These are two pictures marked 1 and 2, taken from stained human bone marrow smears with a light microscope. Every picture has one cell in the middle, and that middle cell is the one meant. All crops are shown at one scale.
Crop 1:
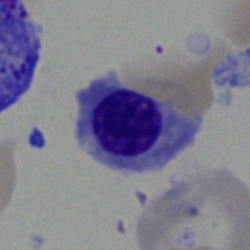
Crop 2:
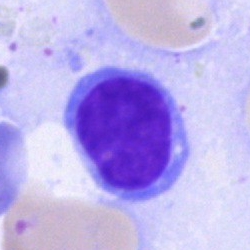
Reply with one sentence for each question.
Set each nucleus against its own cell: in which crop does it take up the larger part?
The nucleus fills more of the cell in crop 2 than in crop 1.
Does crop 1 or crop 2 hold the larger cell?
It is the cell in crop 2, about 1.5 times as large in area as the cell in crop 1.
